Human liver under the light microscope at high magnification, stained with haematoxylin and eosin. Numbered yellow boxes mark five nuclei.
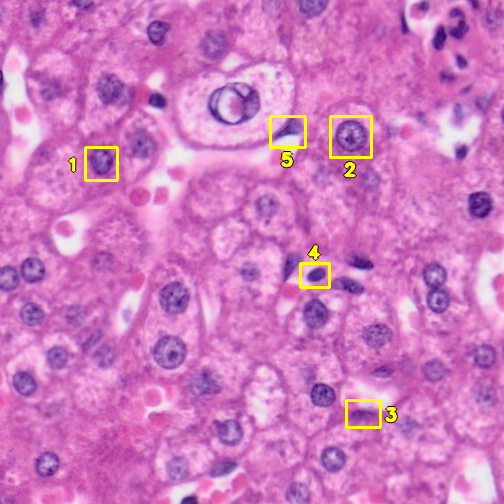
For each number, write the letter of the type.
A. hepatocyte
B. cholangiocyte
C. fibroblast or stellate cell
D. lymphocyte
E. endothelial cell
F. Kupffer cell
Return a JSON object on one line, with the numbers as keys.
{"1": "A", "2": "A", "3": "E", "4": "D", "5": "E"}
